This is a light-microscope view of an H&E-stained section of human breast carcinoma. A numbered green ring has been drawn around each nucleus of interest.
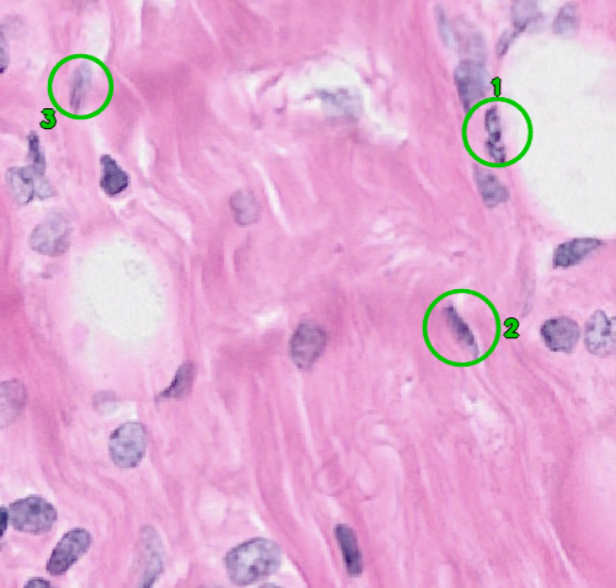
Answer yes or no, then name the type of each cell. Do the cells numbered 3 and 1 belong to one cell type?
No, cell 3 is to be identified as a fibroblast and cell 1 as an endothelial cell.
